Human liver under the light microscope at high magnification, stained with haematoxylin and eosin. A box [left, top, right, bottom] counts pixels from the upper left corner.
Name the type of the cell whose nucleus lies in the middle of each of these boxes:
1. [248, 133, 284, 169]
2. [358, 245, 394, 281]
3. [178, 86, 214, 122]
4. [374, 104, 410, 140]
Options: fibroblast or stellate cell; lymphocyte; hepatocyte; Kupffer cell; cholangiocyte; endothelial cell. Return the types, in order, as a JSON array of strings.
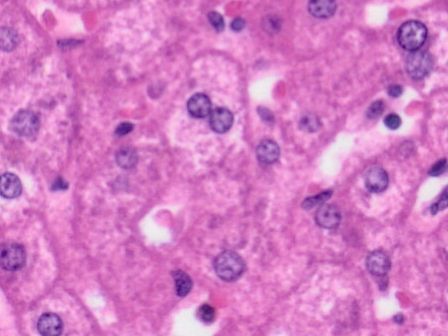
["hepatocyte", "hepatocyte", "hepatocyte", "lymphocyte"]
